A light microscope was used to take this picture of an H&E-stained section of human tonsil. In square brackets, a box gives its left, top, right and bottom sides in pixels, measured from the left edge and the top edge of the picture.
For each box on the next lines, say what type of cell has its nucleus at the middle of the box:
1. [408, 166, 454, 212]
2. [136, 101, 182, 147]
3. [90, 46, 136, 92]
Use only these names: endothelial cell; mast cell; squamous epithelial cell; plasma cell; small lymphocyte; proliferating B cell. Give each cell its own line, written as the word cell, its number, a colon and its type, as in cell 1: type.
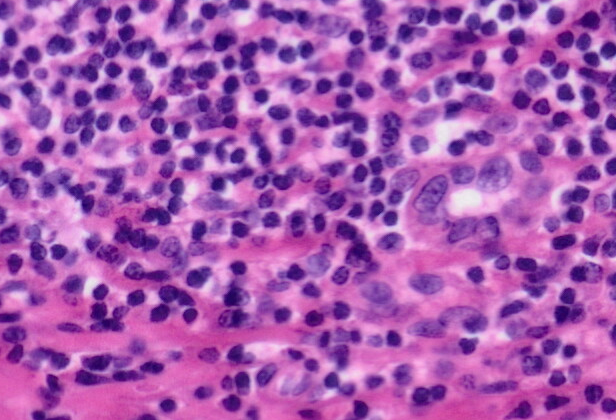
cell 1: endothelial cell
cell 2: small lymphocyte
cell 3: small lymphocyte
